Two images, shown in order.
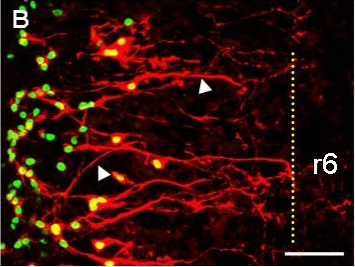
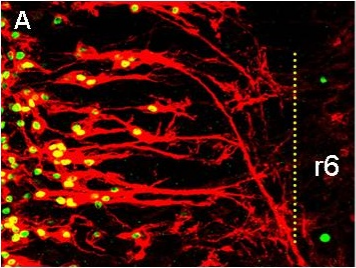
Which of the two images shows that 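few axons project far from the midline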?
The first image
